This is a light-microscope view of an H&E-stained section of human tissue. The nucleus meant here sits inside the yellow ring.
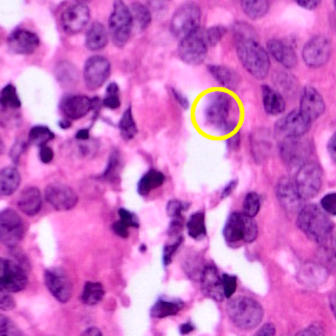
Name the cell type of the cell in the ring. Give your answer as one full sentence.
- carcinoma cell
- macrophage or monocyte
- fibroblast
In cell-type terms, the cell in the ring is a carcinoma cell.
